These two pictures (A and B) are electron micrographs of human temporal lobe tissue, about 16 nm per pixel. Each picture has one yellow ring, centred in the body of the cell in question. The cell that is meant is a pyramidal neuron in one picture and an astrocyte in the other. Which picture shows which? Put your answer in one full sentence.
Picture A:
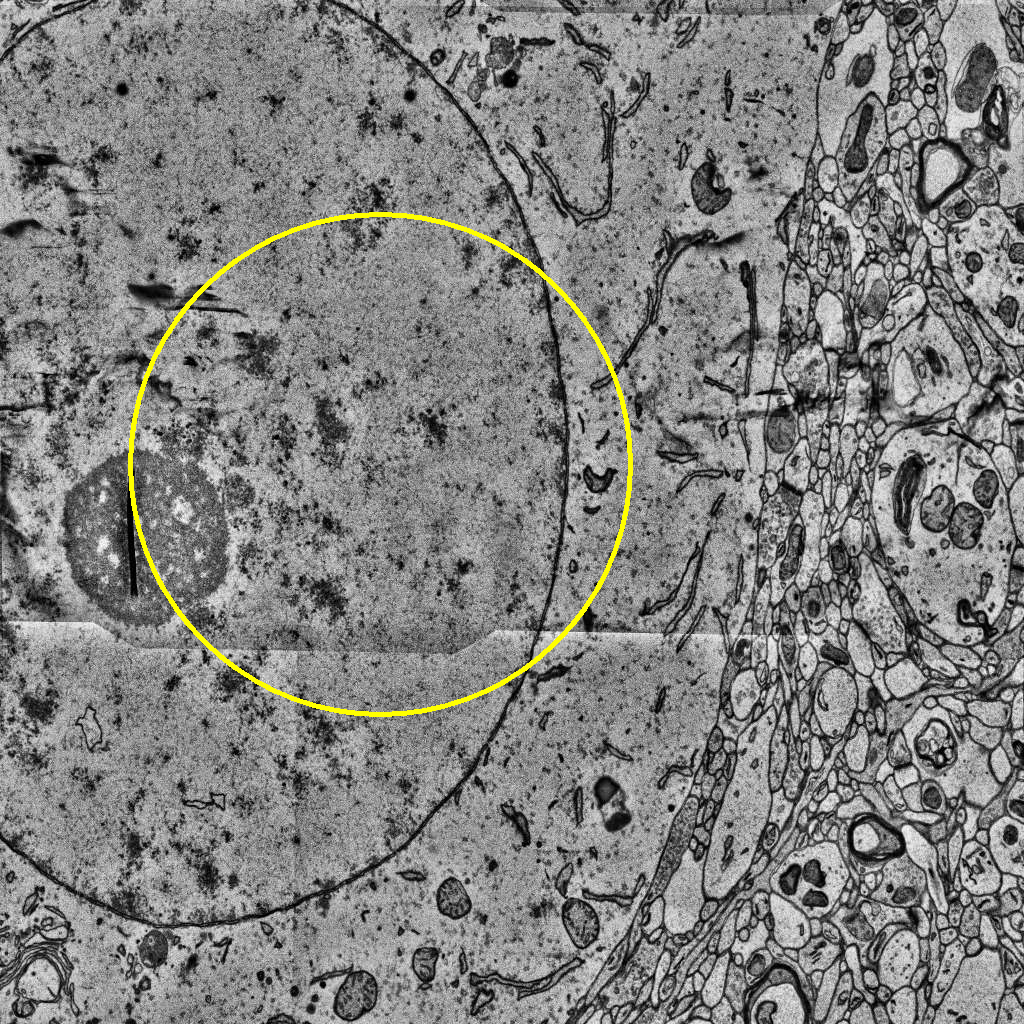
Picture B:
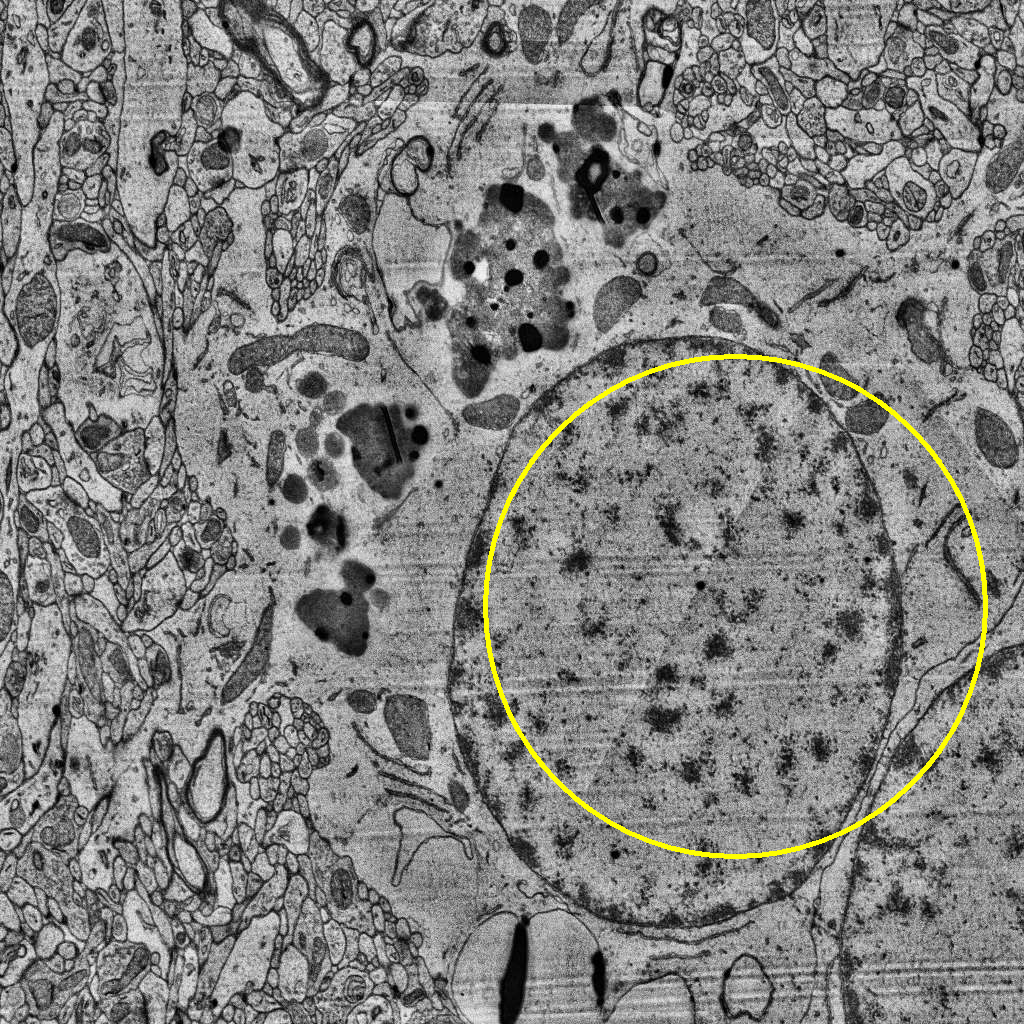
Picture A shows a pyramidal neuron and picture B shows an astrocyte.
